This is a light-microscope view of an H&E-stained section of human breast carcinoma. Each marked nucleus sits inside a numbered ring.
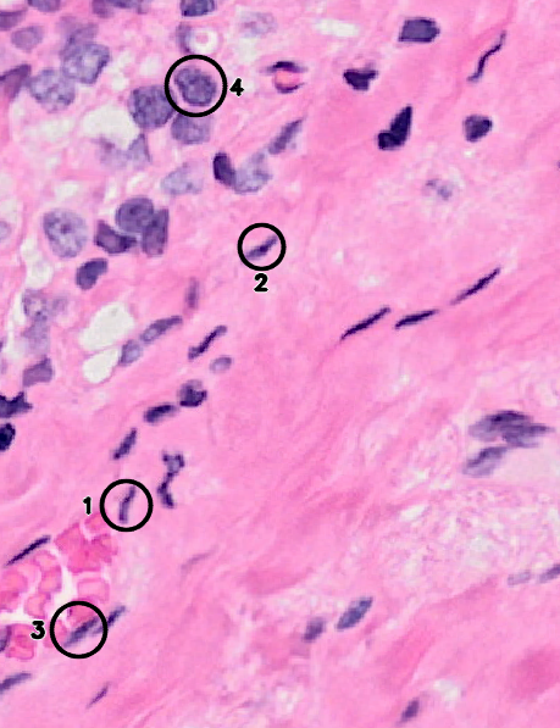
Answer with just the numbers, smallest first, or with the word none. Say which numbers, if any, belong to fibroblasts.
2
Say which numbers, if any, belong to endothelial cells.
1, 3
